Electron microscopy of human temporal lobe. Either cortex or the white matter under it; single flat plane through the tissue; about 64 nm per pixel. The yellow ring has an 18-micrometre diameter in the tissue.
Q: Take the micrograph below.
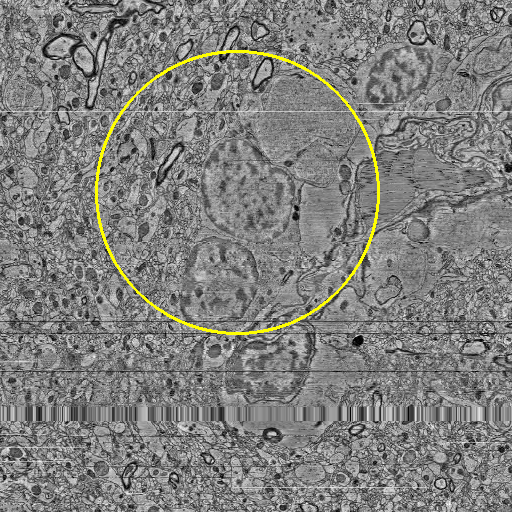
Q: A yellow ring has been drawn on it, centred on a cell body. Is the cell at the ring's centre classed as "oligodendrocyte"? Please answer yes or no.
Yes, that is its kind.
